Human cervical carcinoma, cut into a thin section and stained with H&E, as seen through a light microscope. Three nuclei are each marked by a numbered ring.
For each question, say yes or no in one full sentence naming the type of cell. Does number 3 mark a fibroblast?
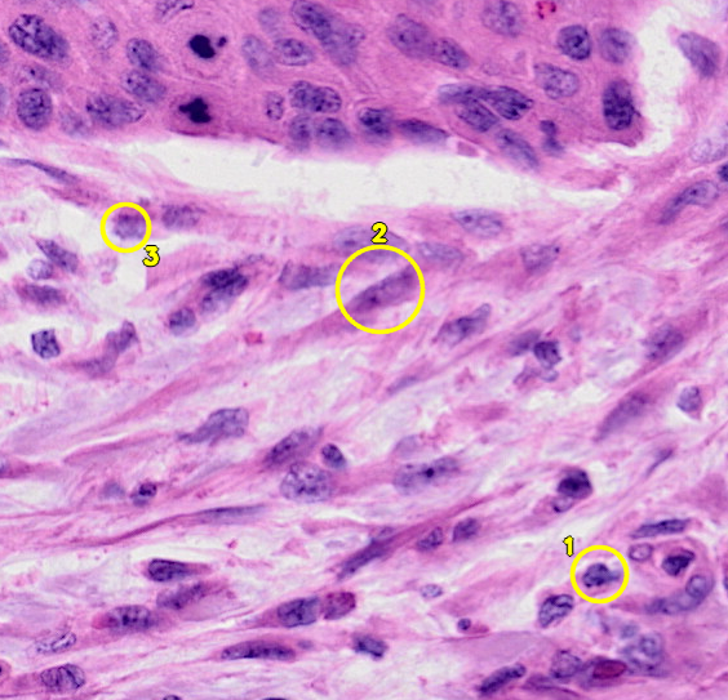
Yes. The cell carrying number 3 is a fibroblast.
